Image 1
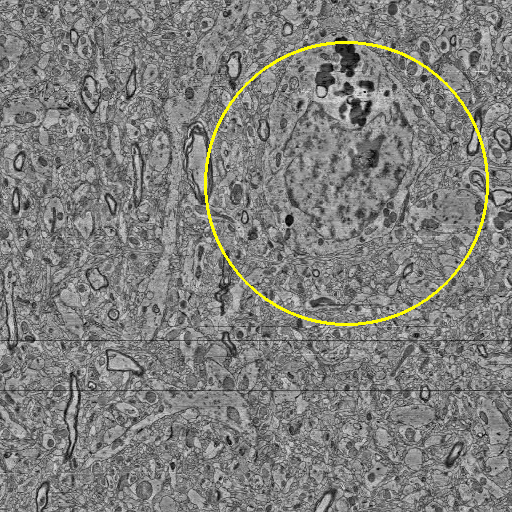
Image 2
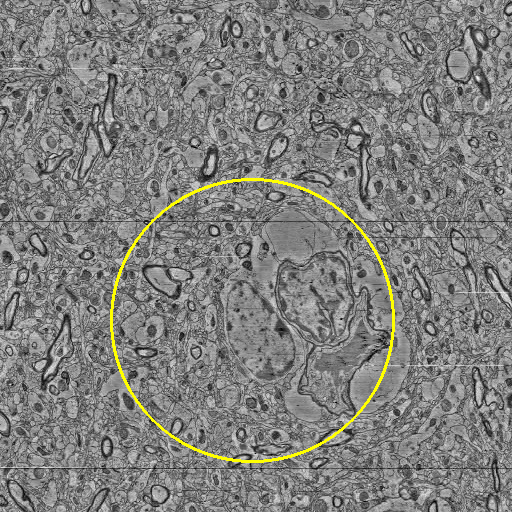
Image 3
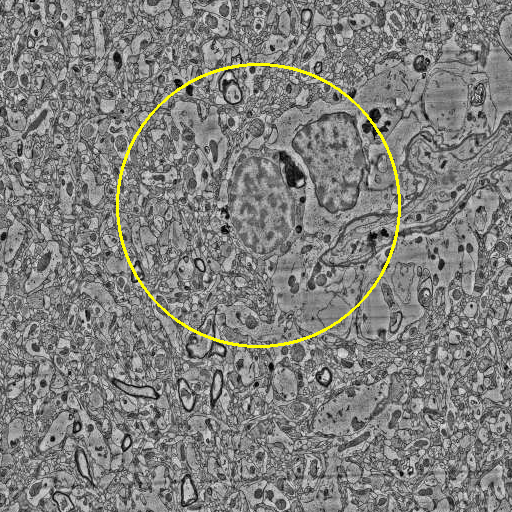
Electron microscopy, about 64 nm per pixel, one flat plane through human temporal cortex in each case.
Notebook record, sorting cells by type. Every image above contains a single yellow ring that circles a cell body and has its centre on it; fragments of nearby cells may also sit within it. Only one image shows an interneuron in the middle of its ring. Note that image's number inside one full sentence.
For image 1, the cell in the middle of its yellow ring is the match.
